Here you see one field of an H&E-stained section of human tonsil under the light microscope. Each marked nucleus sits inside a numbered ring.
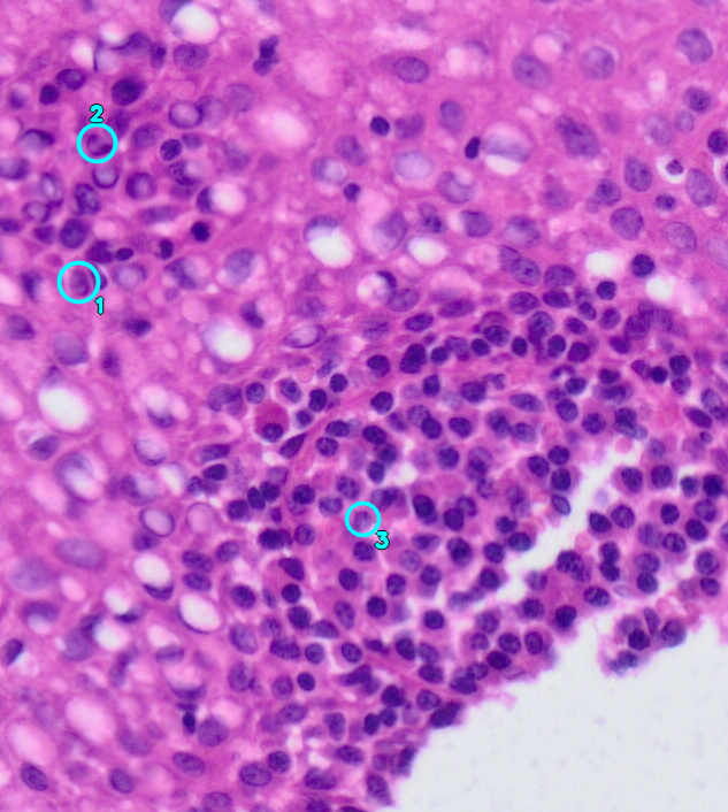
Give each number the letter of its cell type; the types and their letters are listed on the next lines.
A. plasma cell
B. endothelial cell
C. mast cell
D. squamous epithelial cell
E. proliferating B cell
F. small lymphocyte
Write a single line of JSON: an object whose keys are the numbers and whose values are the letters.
{"1": "D", "2": "D", "3": "A"}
